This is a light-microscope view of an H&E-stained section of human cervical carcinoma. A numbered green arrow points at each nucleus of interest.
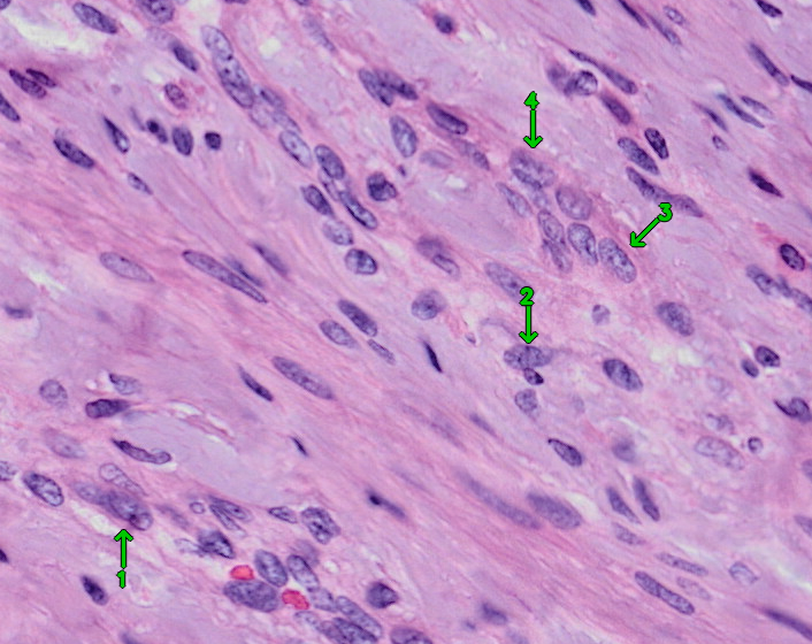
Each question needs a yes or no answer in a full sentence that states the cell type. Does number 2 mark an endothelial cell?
No, cell 2 should be read as a fibroblast instead of an endothelial cell.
